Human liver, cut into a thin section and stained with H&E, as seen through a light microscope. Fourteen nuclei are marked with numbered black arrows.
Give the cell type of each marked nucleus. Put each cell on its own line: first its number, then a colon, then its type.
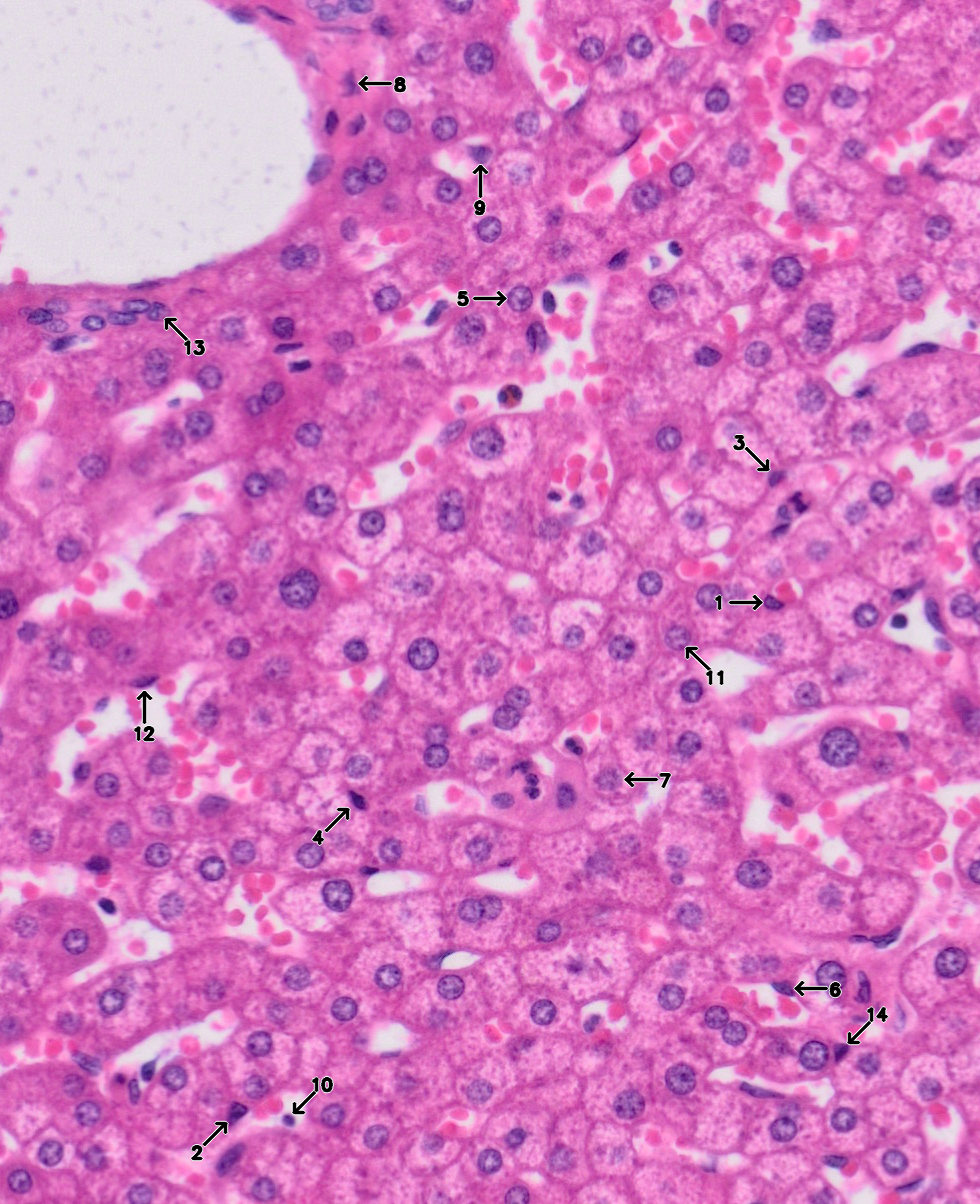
1: fibroblast or stellate cell
2: fibroblast or stellate cell
3: fibroblast or stellate cell
4: fibroblast or stellate cell
5: hepatocyte
6: endothelial cell
7: hepatocyte
8: fibroblast or stellate cell
9: Kupffer cell
10: lymphocyte
11: hepatocyte
12: fibroblast or stellate cell
13: cholangiocyte
14: fibroblast or stellate cell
